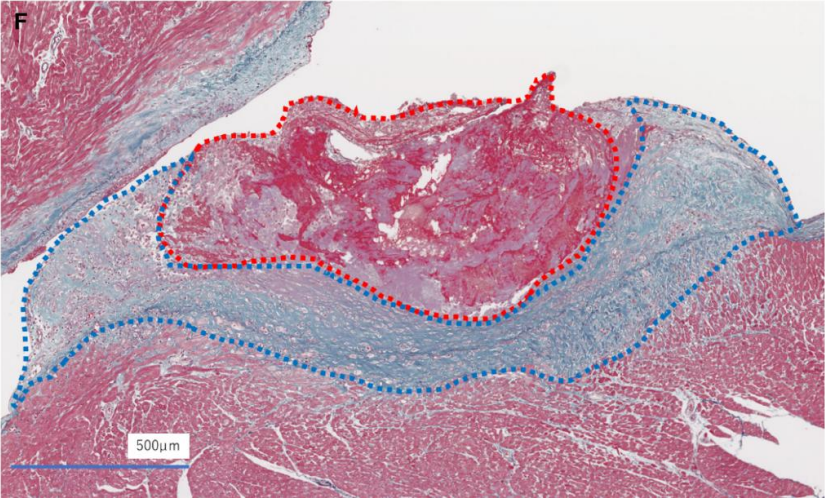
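A thrombus sits on a thickened fibrous layer at the surface of heart muscle. Above and below, red-stained cardiac muscle fibres run in parallel bundles. Between them lies a broad band of blue-green fibrous tissue scattered with small nuclei, consistent with infiltrating inflammatory cells. Resting on this band and bulging into the open space is an irregular mass of amorphous red to pink material broken by clefts, with blue-green fibrous tissue along its margins. The thrombus has no orderly fibre pattern, which sets it apart from the muscle beneath.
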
